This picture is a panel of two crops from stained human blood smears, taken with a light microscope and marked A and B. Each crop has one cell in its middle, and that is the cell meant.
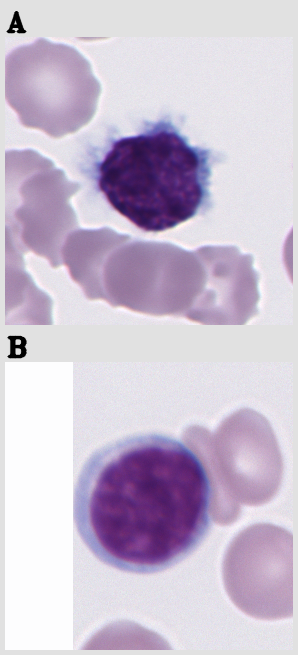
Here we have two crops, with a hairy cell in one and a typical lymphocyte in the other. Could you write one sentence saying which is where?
The correct labels are a hairy cell for crop A and a typical lymphocyte for crop B.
